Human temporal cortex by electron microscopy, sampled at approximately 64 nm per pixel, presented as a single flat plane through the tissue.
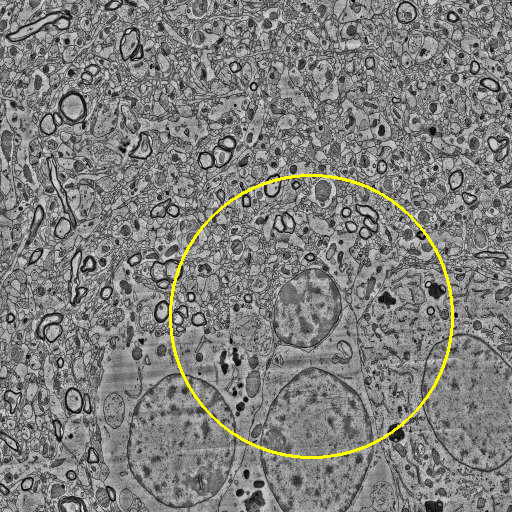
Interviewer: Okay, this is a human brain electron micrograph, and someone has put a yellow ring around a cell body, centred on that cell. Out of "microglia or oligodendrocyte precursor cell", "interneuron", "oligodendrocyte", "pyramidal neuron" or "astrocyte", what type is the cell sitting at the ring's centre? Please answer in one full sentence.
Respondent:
The cell at the centre of the yellow ring in this picture is a microglial cell or oligodendrocyte precursor cell.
